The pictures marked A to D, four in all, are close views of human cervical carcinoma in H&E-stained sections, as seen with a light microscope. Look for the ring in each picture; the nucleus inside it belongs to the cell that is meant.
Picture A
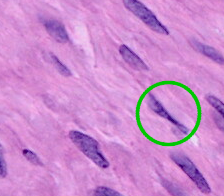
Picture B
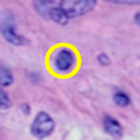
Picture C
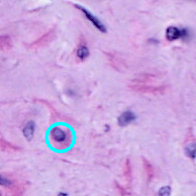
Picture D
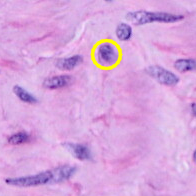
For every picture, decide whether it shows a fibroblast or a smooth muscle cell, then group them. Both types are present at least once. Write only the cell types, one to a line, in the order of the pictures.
fibroblast
smooth muscle cell
smooth muscle cell
smooth muscle cell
